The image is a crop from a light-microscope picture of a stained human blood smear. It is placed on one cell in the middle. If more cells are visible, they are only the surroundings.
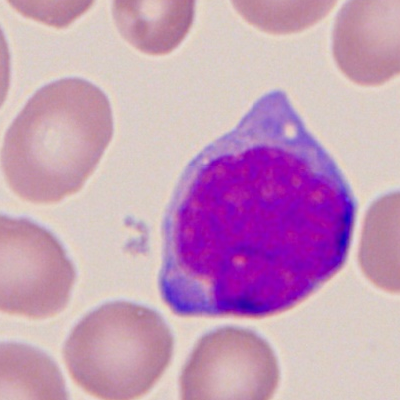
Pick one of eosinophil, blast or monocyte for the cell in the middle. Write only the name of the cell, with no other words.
blast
